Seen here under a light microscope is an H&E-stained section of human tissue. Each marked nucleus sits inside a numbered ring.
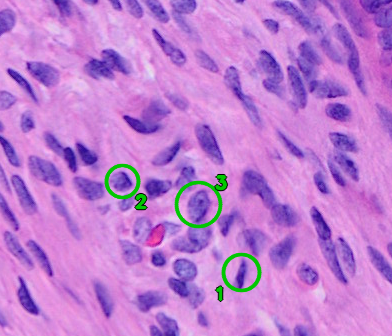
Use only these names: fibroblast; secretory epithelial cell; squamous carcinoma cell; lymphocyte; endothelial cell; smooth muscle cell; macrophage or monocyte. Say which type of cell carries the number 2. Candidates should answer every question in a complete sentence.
The one numbered 2 among the marked cells is a fibroblast.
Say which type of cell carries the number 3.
Identified as an endothelial cell is the cell bearing the number 3.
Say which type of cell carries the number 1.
At number 1, the marked cell is a fibroblast.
